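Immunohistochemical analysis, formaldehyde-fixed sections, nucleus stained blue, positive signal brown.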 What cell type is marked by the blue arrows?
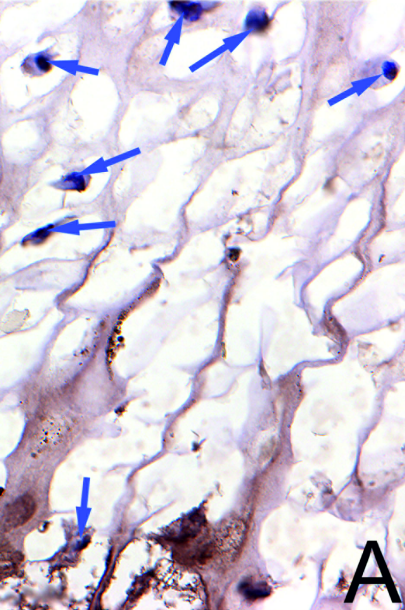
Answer: chondrocyte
